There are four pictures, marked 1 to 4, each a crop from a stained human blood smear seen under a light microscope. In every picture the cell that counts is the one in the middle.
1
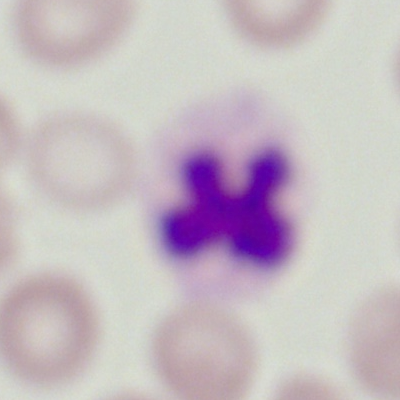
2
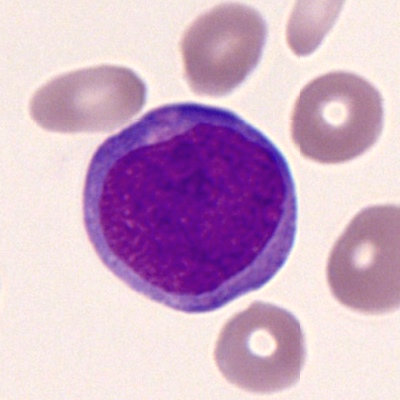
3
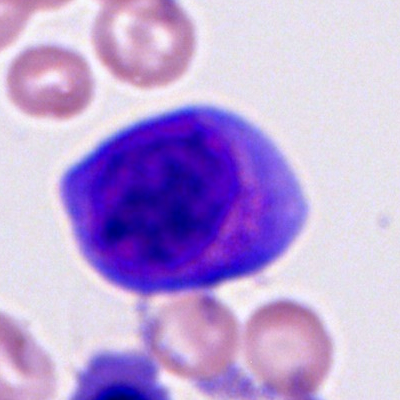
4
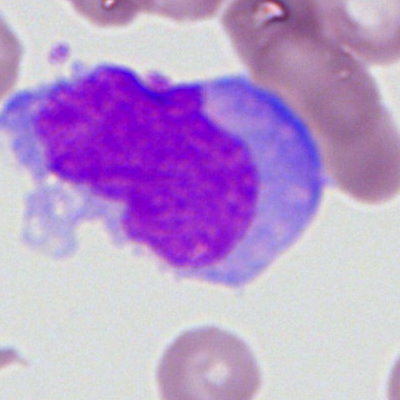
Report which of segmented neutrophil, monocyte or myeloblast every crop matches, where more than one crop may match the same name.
1: segmented neutrophil
2: myeloblast
3: myeloblast
4: monocyte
